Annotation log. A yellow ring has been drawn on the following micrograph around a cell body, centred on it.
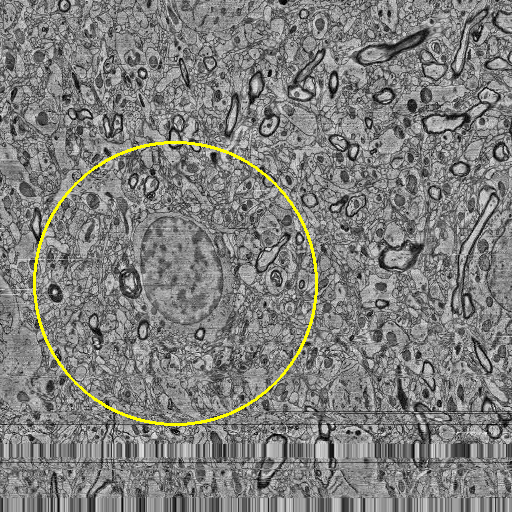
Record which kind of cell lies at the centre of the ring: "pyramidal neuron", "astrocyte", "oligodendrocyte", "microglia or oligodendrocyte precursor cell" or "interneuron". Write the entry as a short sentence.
The cell the ring is centred on is an oligodendrocyte.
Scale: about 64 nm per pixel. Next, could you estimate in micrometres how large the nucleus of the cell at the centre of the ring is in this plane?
About 7 by 6 micrometers for the nucleus, in this plane.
